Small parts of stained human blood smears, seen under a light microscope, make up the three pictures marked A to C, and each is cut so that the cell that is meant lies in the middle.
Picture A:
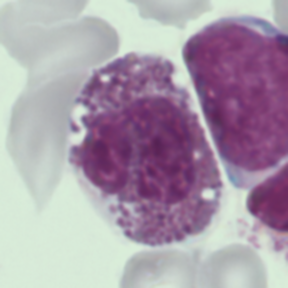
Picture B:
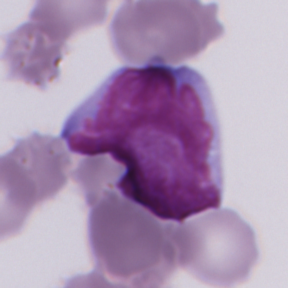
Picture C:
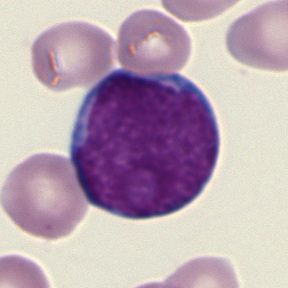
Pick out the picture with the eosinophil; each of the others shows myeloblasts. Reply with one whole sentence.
It is picture A that shows the eosinophil.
